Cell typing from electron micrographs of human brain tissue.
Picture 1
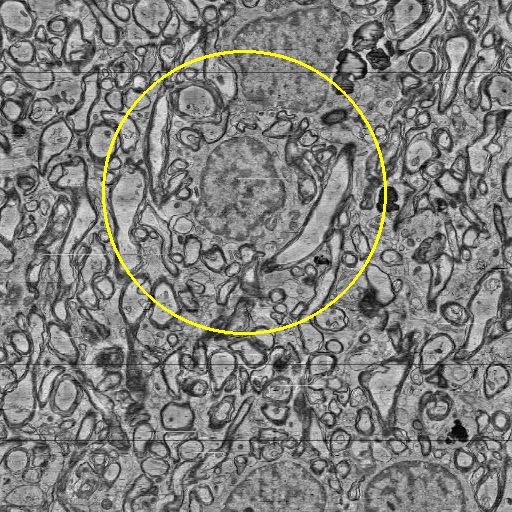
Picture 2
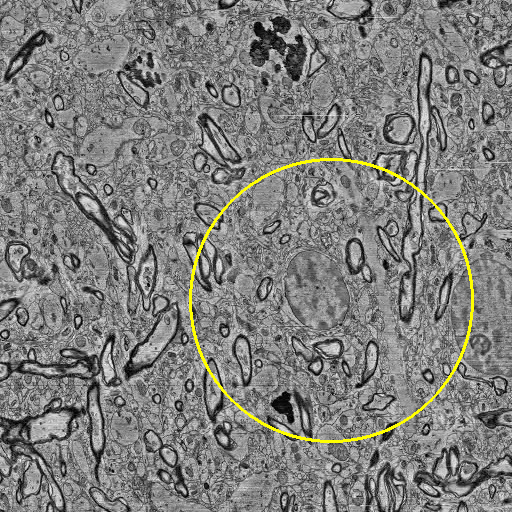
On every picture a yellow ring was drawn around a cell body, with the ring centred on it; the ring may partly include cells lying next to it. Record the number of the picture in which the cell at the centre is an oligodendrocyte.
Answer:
1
